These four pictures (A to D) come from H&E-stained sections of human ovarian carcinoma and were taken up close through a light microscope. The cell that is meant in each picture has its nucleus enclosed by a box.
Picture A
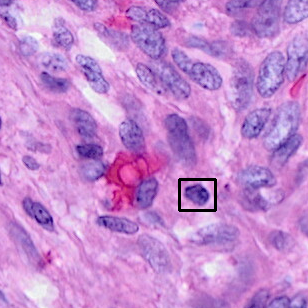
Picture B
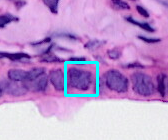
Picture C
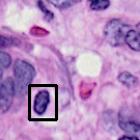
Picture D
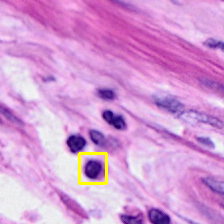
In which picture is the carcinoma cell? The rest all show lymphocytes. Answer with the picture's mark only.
B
